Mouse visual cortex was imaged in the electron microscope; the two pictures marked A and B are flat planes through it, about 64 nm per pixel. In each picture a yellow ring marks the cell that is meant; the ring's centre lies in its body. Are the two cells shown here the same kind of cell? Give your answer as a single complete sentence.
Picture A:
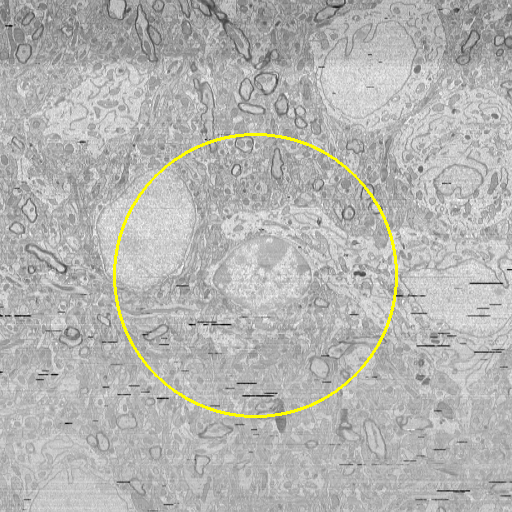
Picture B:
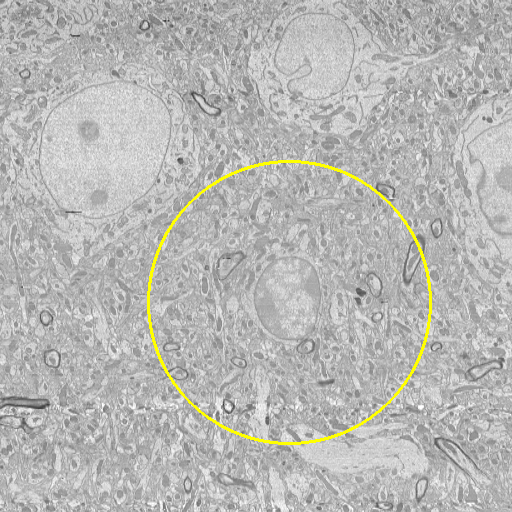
Yes, the two pictures both show oligodendrocytes.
